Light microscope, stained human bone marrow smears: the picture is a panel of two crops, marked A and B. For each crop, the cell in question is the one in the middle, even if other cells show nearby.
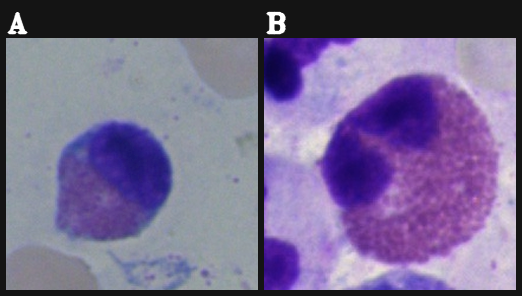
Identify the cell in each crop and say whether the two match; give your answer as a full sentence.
Yes, both crops depict eosinophils at the centre.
